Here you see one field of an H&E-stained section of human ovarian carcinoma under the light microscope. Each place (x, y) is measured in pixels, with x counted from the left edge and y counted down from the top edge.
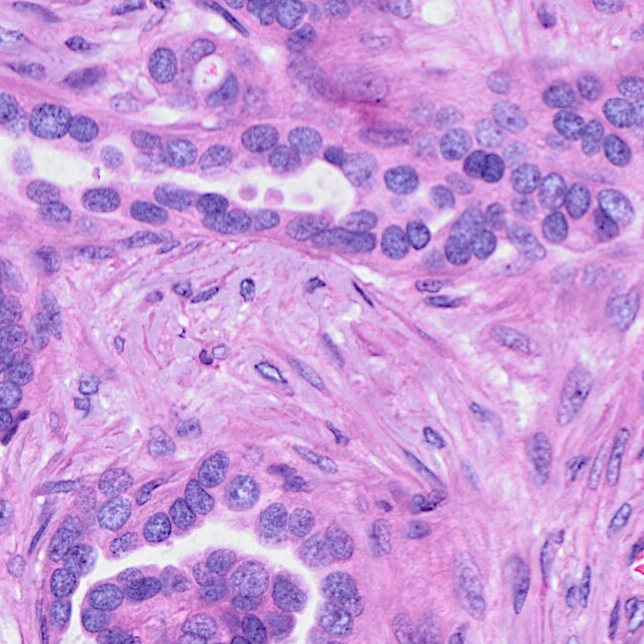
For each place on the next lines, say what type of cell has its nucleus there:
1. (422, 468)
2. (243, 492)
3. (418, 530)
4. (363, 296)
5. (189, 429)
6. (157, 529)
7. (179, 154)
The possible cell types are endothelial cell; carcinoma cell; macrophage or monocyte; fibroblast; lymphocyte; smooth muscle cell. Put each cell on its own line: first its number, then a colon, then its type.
1: fibroblast
2: carcinoma cell
3: fibroblast
4: fibroblast
5: fibroblast
6: carcinoma cell
7: carcinoma cell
